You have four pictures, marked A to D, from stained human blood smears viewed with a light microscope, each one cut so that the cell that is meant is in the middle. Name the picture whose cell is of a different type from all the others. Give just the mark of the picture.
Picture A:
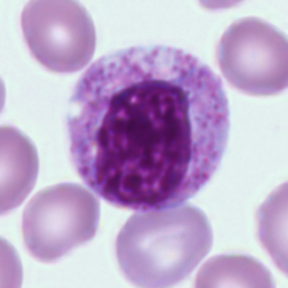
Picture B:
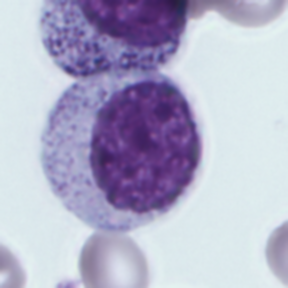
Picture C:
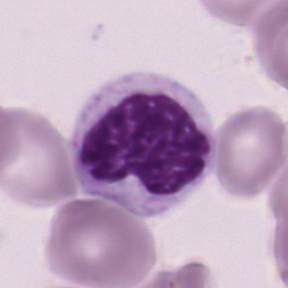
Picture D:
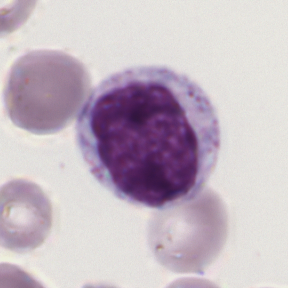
B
